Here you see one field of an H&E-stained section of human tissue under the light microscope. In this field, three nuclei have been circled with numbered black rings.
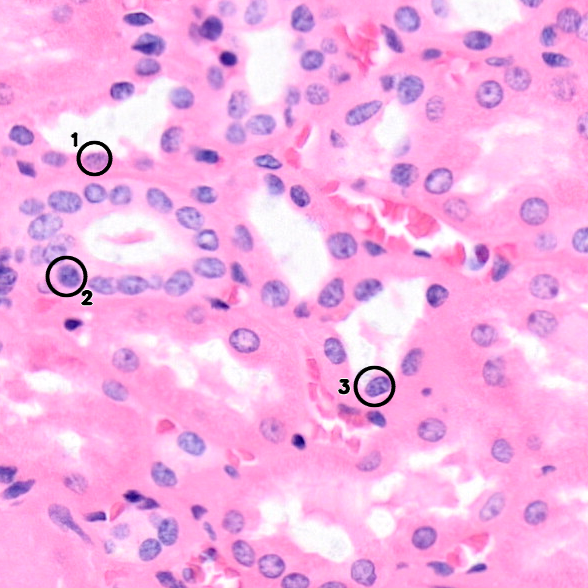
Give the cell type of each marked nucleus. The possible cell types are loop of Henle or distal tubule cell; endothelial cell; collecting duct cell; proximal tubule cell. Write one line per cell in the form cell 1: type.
cell 1: loop of Henle or distal tubule cell
cell 2: collecting duct cell
cell 3: loop of Henle or distal tubule cell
